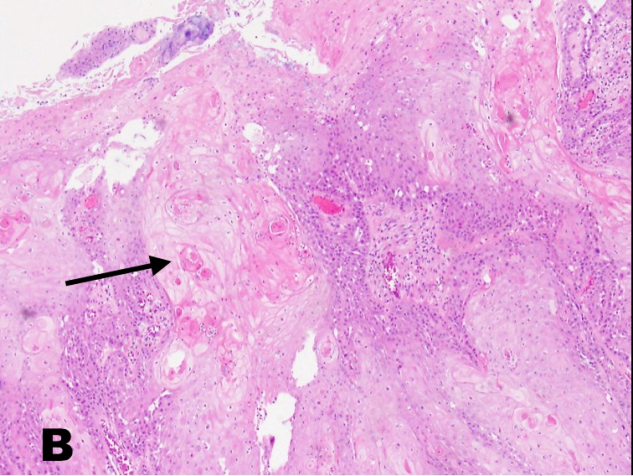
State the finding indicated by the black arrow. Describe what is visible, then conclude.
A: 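Keratinization. The arrow points to small whorls of bright pink, glassy material within a tumor nest.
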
